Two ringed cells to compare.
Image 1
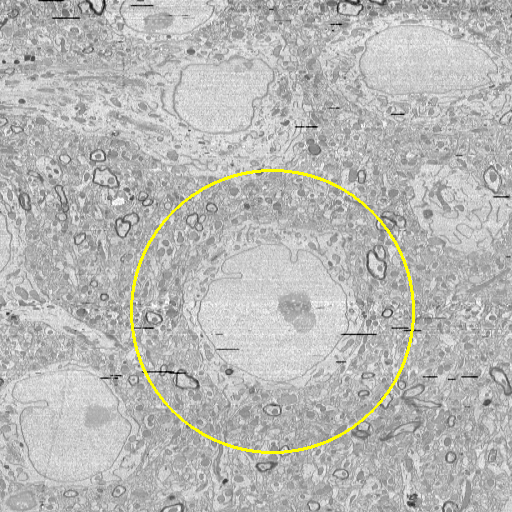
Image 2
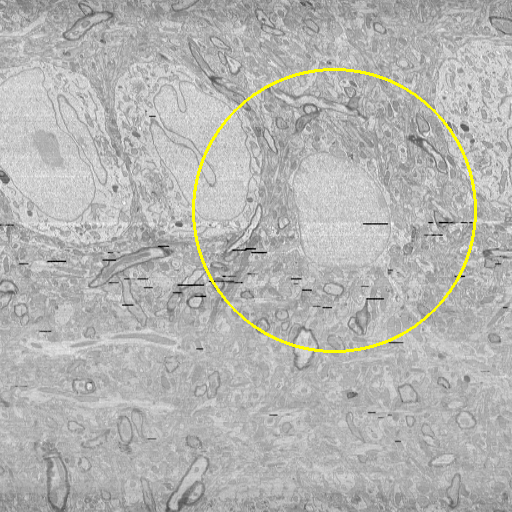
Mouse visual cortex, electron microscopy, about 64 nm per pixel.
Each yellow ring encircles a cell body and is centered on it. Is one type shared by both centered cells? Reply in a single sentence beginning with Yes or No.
No, two types are found among the cells at the centers of the rings.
